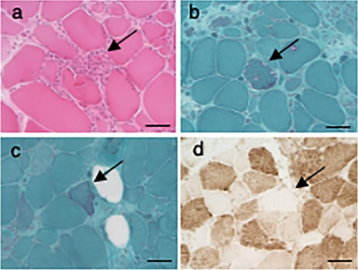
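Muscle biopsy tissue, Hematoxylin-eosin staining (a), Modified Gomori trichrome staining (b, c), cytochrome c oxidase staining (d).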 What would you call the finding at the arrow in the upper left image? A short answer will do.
Endomysial inflammatory infiltrates invading nonnecrotic fibers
